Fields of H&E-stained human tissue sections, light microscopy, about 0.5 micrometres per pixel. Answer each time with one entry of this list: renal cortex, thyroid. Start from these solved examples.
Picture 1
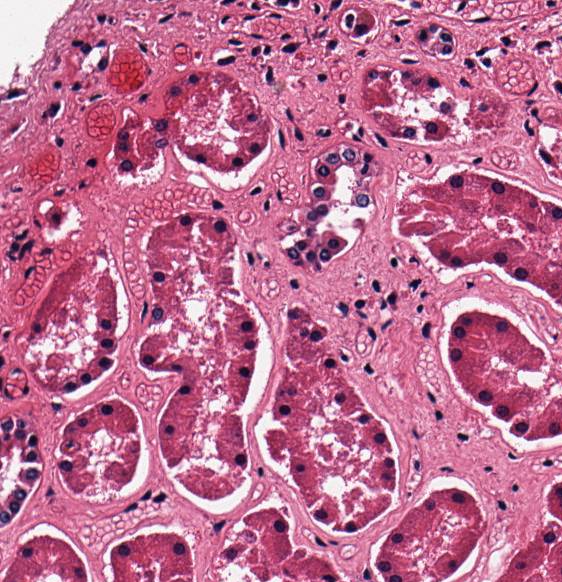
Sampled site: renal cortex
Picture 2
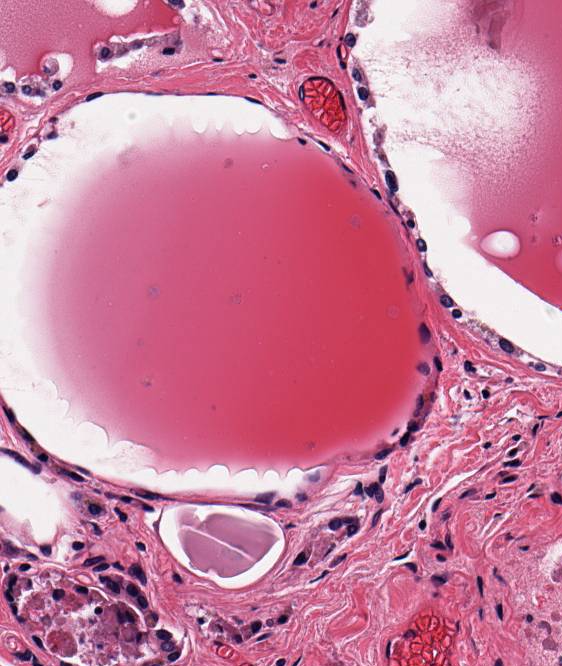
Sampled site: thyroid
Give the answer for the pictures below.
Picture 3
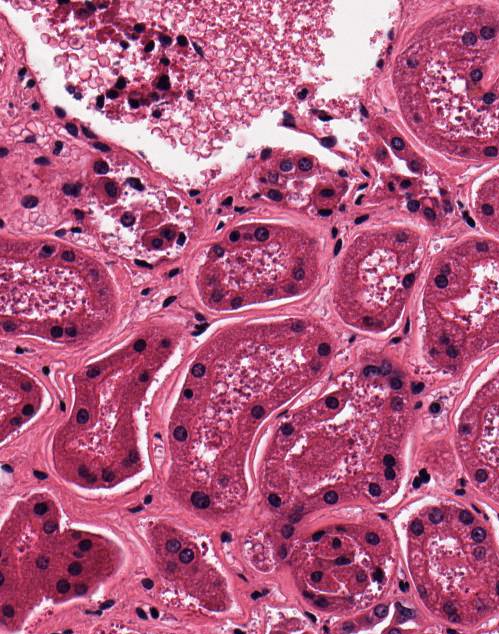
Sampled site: renal cortex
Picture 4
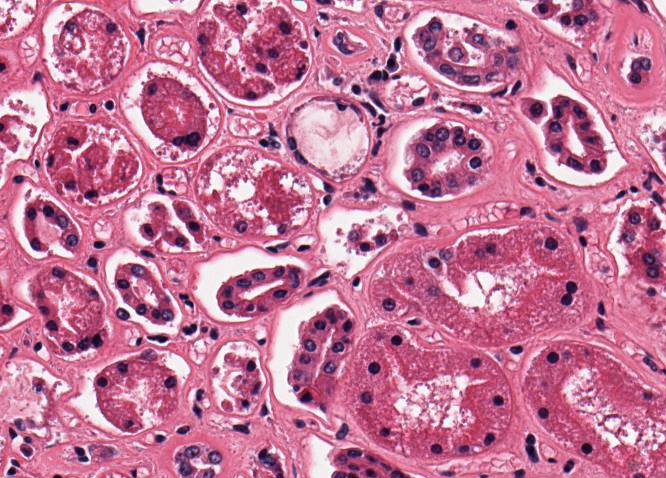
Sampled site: renal cortex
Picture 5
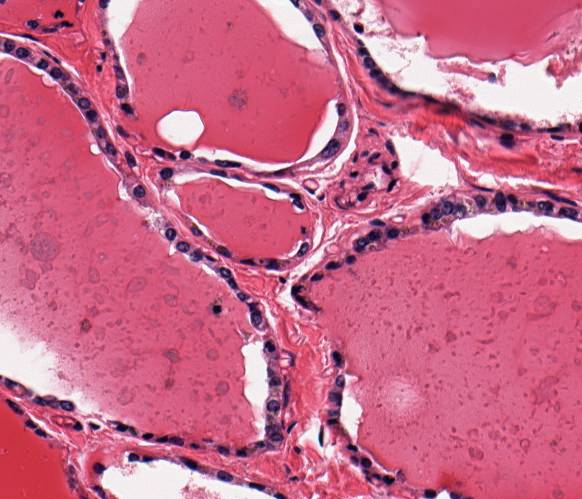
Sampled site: thyroid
